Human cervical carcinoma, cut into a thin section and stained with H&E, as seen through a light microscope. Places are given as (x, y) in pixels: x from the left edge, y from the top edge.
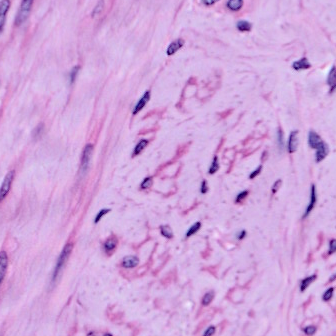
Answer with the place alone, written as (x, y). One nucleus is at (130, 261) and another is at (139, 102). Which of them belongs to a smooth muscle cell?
(130, 261)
